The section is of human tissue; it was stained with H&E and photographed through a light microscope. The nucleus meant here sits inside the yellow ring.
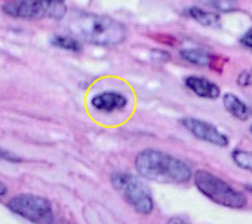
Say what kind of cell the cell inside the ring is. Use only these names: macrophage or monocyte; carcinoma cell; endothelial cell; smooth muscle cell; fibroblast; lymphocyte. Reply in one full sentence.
The expected answer is simply that the cell inside the ring is a lymphocyte.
